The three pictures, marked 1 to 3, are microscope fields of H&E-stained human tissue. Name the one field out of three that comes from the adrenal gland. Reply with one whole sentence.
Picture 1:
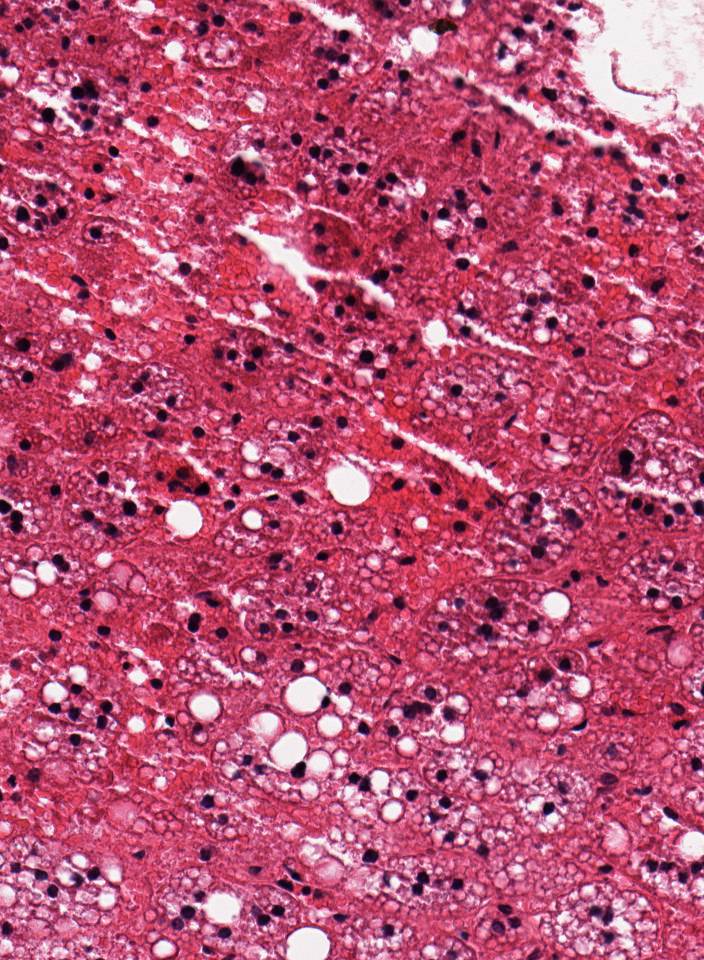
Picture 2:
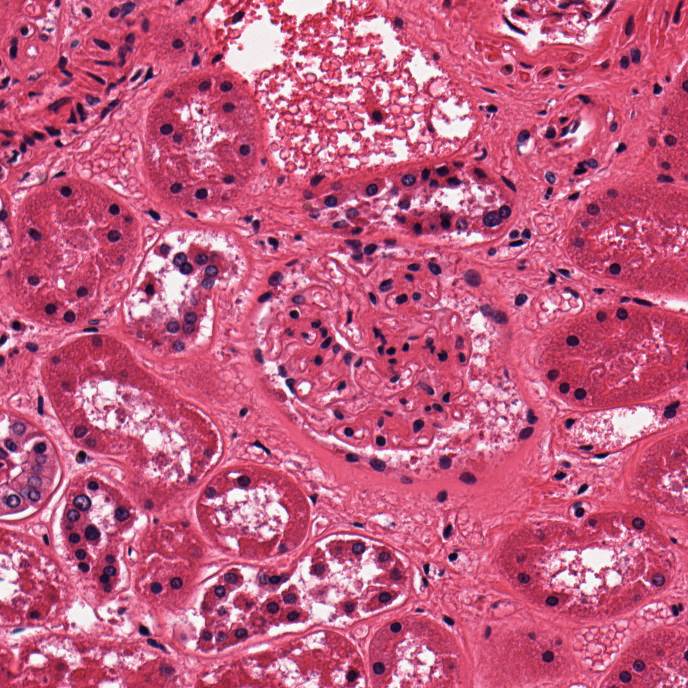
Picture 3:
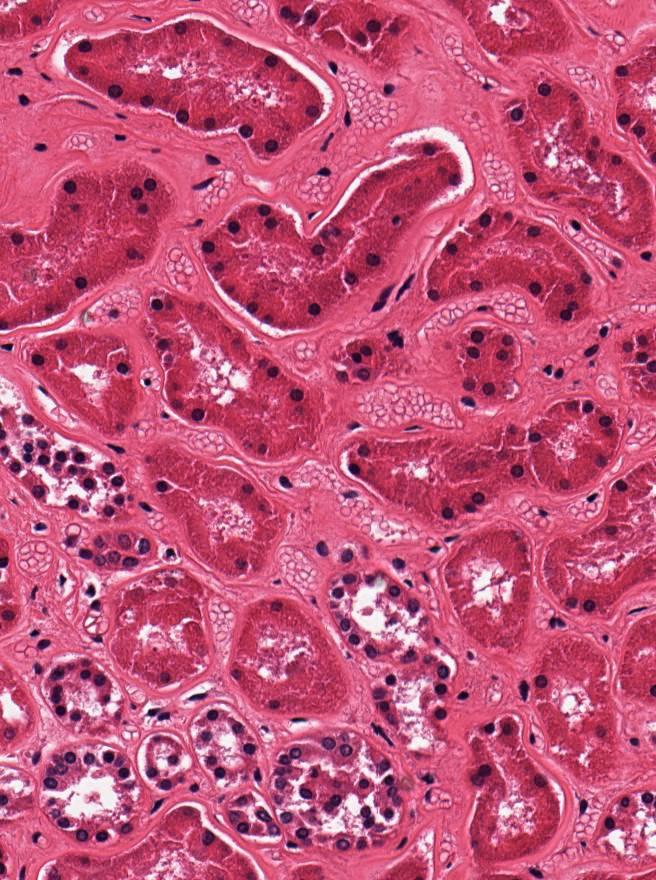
The one that comes from the adrenal gland is picture 1.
